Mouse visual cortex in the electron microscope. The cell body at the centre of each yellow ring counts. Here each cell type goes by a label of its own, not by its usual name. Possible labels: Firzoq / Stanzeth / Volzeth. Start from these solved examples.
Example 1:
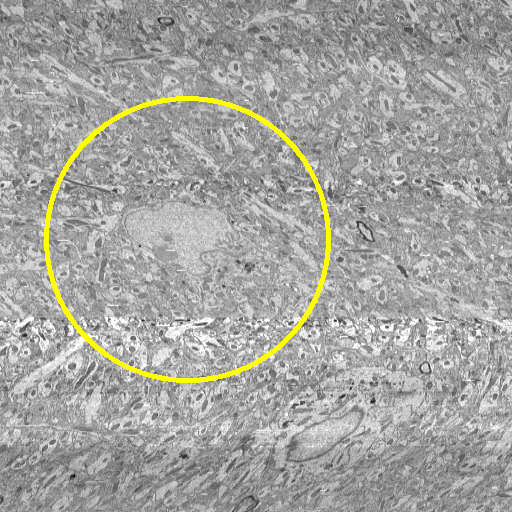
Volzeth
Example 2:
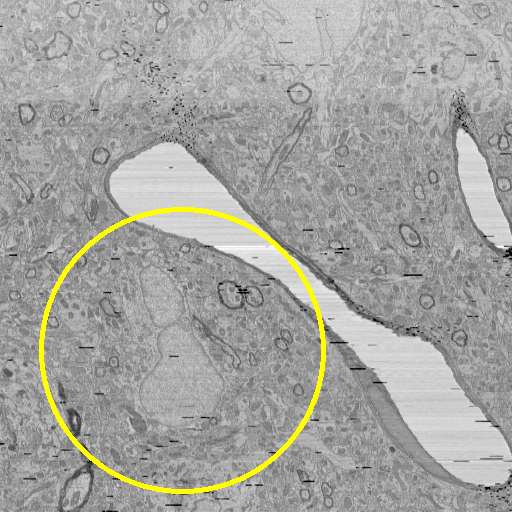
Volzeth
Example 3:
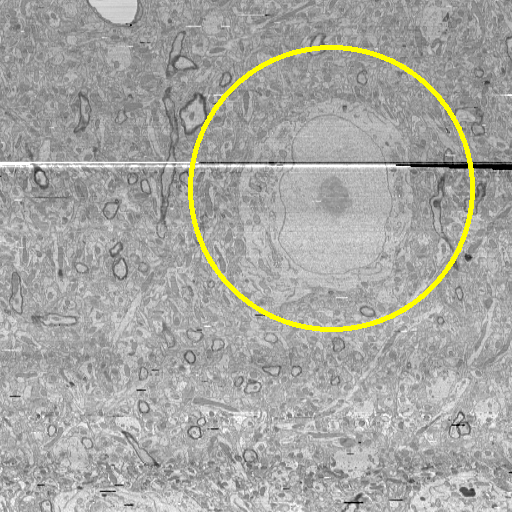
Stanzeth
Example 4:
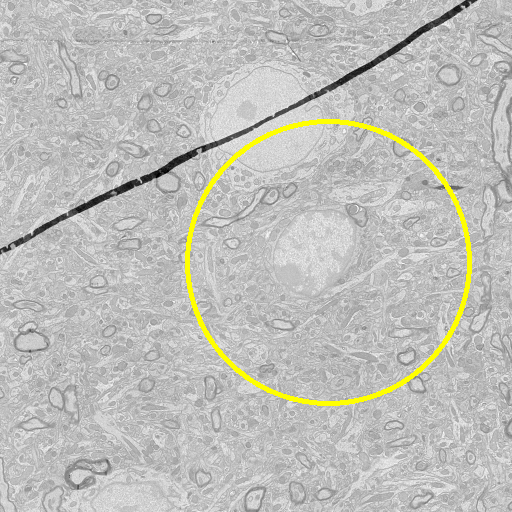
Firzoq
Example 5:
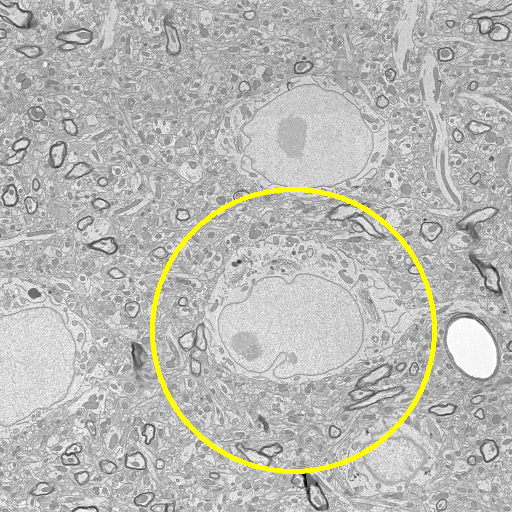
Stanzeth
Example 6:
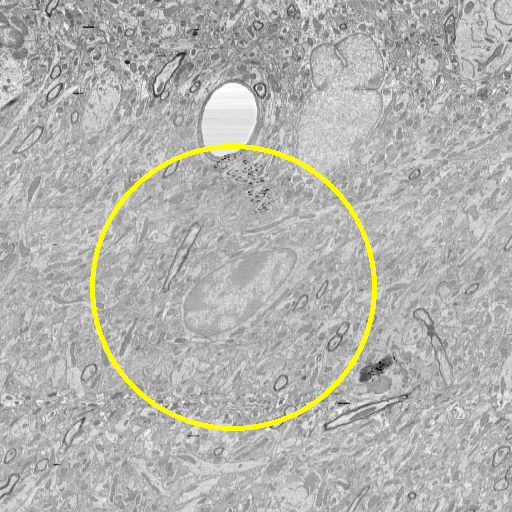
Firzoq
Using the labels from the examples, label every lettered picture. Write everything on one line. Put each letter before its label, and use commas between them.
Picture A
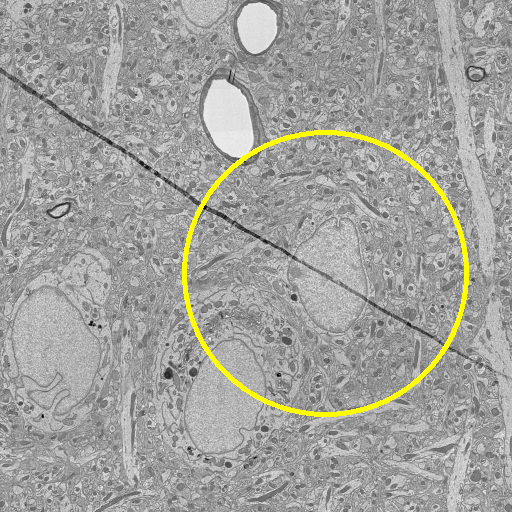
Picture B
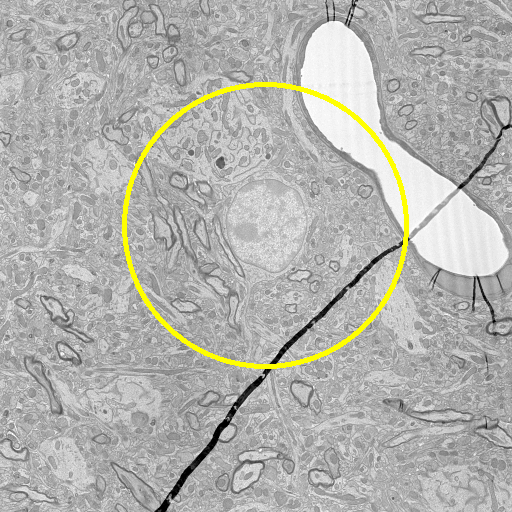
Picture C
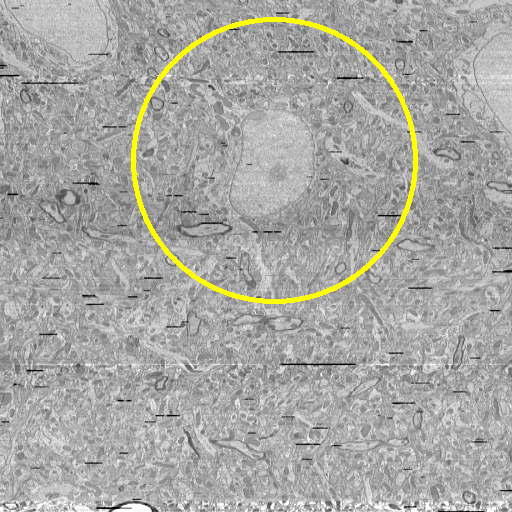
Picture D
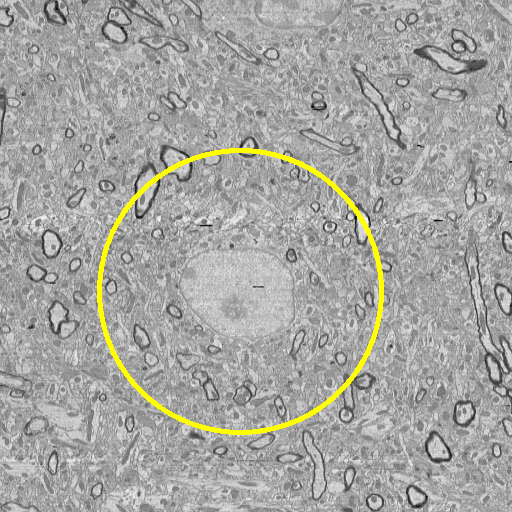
A Volzeth, B Firzoq, C Volzeth, D Volzeth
